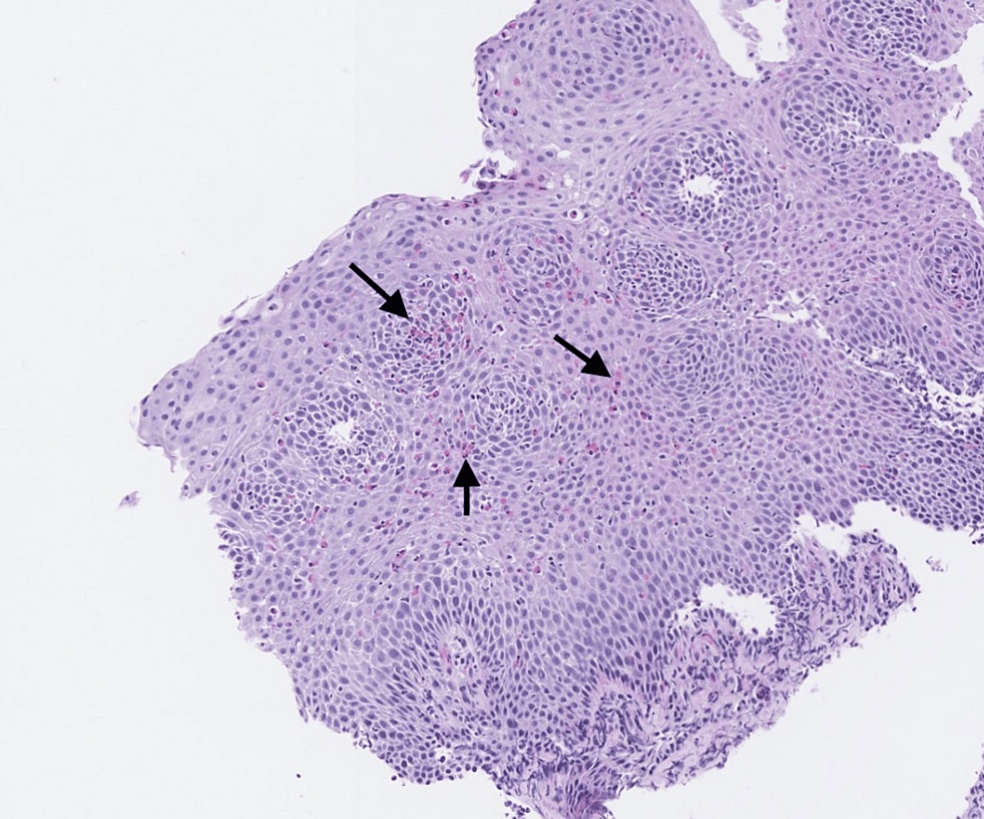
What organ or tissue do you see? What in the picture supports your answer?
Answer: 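Squamous epithelium. Many layers of stacked polygonal cells with round to oval nuclei. Cells become flatter toward the free surface. Round cores of connective tissue are cut across within the thick epithelium.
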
